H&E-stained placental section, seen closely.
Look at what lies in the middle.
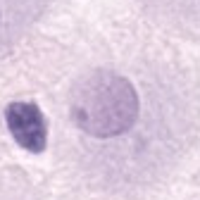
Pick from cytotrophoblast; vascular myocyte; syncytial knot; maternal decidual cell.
maternal decidual cell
